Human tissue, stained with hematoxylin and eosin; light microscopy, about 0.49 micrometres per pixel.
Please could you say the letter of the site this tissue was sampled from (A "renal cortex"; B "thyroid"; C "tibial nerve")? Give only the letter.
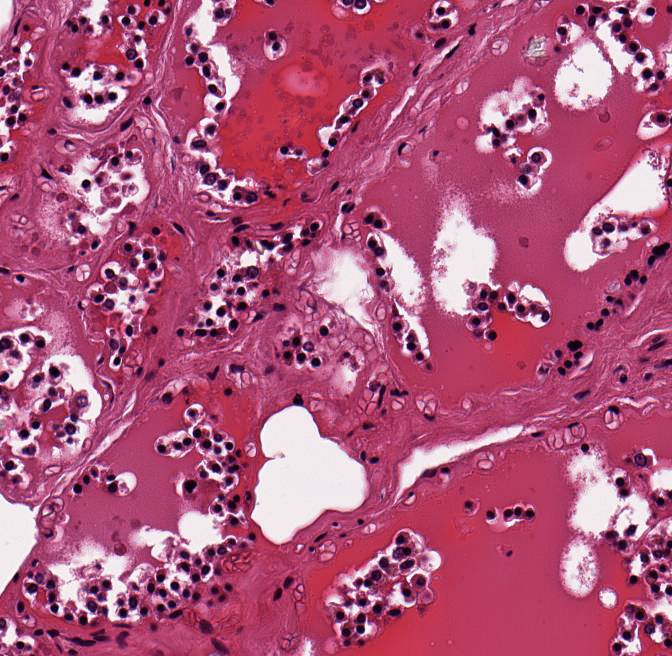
B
